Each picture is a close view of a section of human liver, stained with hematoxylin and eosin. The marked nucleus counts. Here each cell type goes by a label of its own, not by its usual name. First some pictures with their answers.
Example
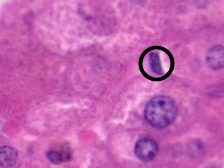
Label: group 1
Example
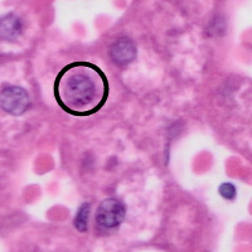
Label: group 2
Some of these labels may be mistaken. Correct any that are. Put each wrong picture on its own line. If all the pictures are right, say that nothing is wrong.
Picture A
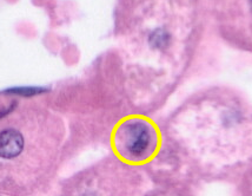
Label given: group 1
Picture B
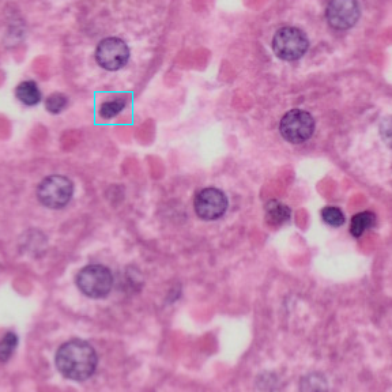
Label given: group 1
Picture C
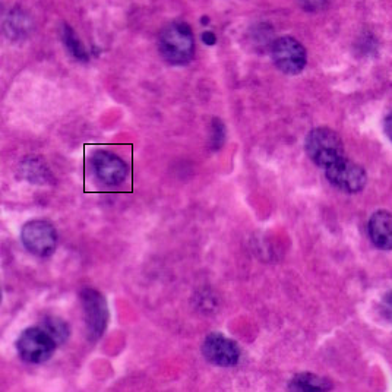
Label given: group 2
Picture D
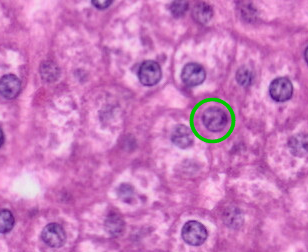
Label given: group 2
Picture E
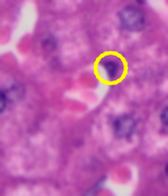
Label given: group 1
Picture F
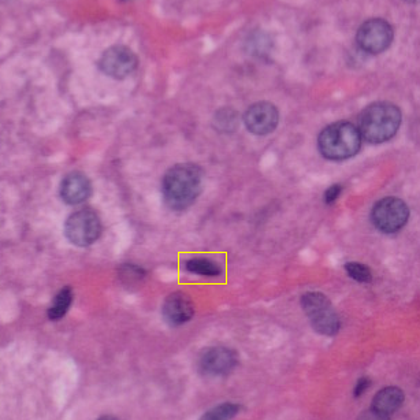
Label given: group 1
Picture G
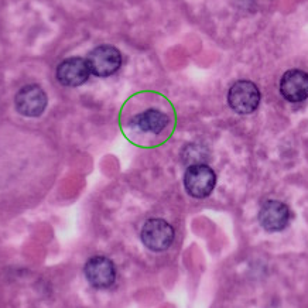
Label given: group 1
None of the labels needs changing.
